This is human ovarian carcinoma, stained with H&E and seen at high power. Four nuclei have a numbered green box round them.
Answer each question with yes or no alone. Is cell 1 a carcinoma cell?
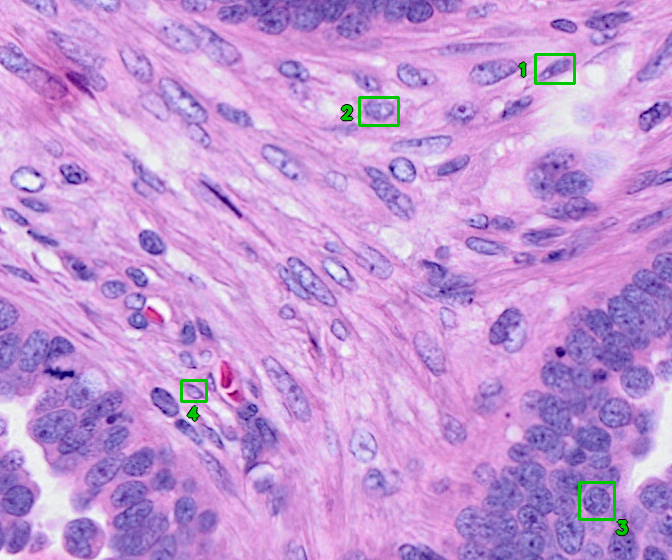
no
